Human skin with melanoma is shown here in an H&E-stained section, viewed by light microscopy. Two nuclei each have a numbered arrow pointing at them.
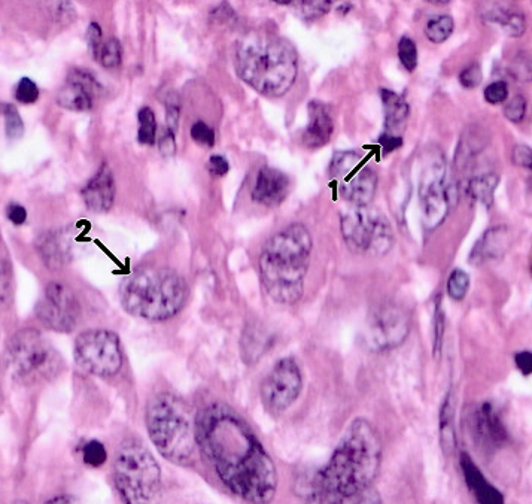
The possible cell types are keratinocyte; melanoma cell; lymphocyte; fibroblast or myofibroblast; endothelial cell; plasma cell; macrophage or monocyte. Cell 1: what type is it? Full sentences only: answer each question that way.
The cell identified by number 1 is a lymphocyte.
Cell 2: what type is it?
Identified by the number 2, the cell is a melanoma cell.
